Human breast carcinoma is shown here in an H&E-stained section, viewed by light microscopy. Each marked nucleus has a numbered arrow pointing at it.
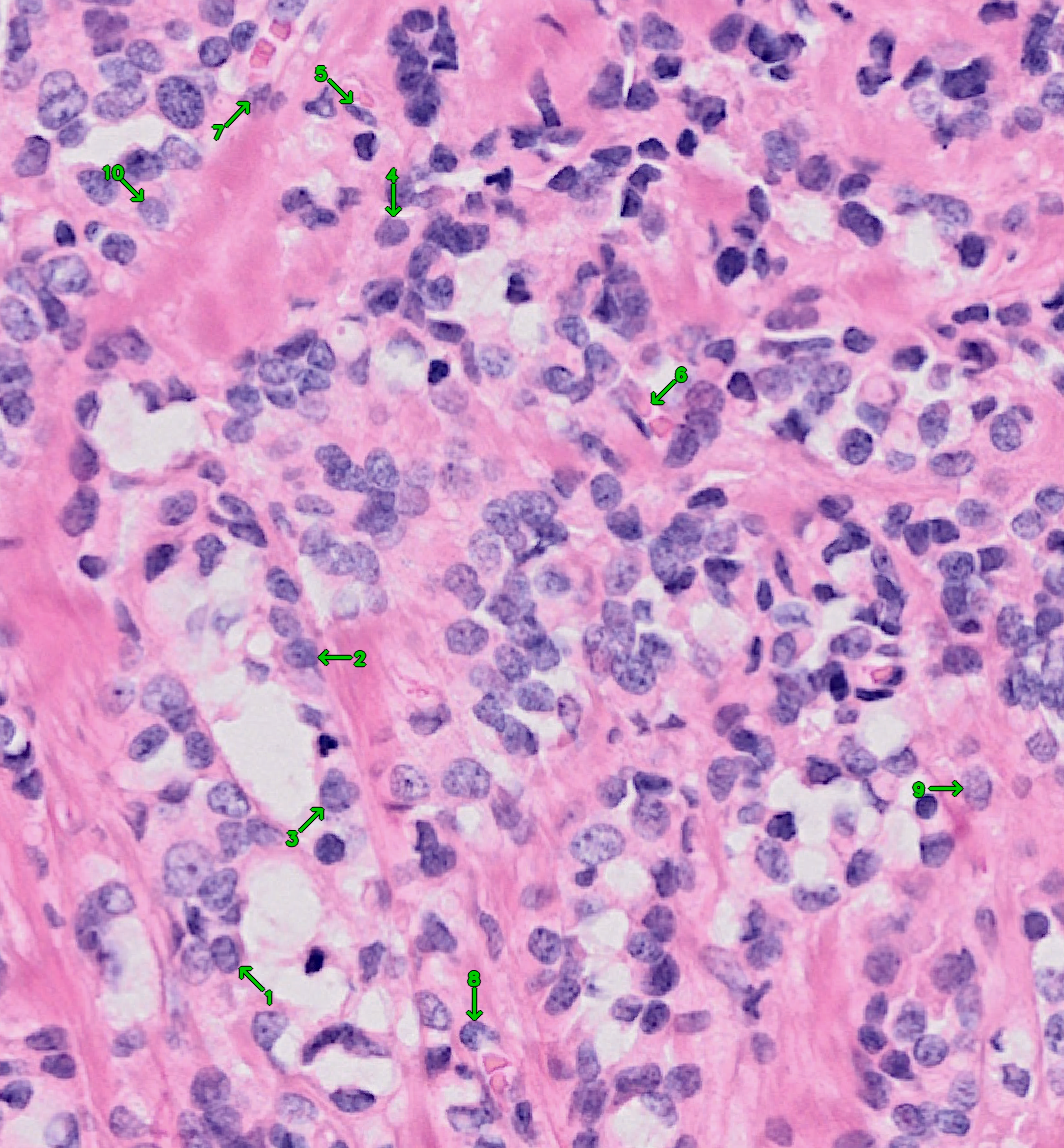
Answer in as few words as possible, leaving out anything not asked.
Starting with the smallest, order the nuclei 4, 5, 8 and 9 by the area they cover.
5, 8, 4, 9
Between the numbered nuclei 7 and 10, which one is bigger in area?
10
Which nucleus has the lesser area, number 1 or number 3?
1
